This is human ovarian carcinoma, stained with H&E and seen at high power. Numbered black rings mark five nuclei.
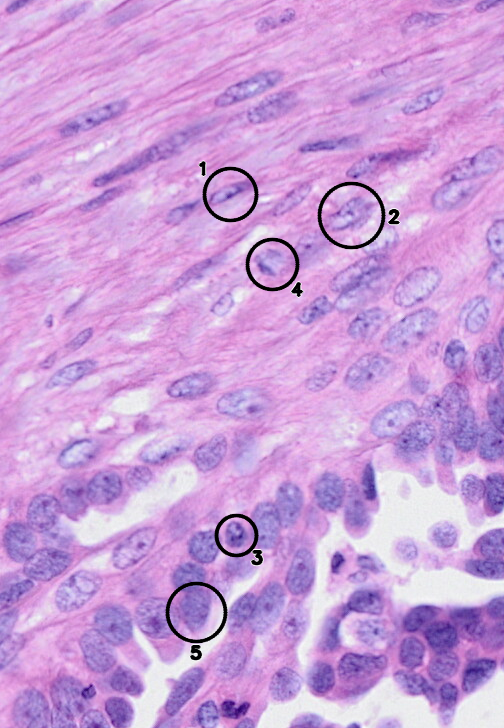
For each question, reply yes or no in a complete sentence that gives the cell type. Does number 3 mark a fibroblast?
No, calling cell 3 a fibroblast is a mistake; it is a macrophage or monocyte.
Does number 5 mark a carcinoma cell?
Yes, number 5 marks a cell that is a carcinoma cell.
